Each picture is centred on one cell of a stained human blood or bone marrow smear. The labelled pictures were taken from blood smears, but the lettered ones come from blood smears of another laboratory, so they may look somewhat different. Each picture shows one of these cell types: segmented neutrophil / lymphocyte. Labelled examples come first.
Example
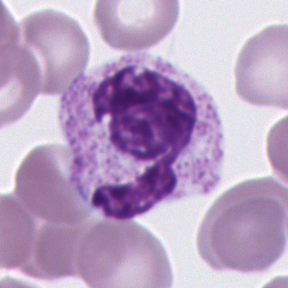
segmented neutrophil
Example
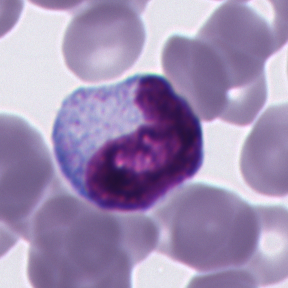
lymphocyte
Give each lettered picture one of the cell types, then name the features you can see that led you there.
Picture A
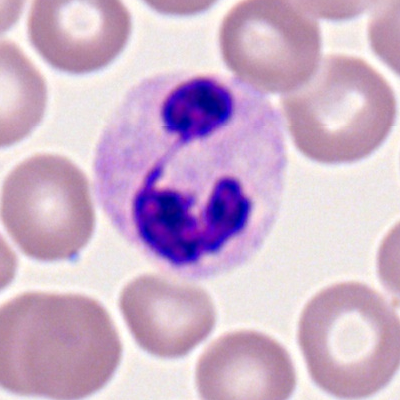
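Answer: segmented neutrophil. The nucleus is divided into several separate lobes.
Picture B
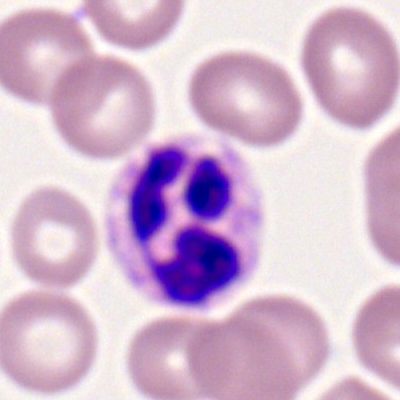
Answer: segmented neutrophil. The cytoplasm is plentiful and pale pinkish-lilac.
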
